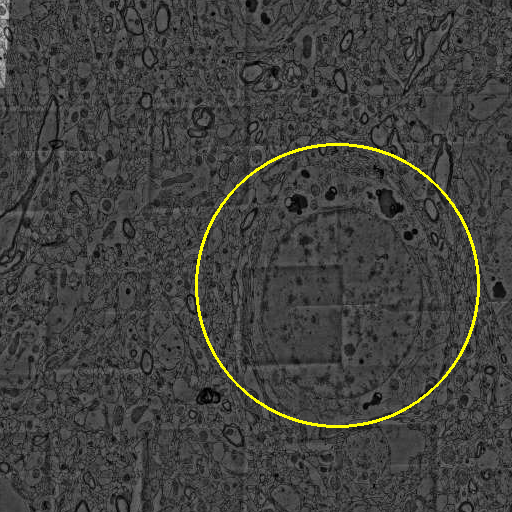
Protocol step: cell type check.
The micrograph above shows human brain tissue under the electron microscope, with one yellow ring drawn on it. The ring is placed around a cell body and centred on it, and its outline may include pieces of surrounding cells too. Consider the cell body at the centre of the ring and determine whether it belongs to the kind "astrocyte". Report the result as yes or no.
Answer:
no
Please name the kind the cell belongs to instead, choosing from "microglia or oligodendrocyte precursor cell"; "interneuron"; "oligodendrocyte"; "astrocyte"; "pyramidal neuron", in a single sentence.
The ring's central cell is an interneuron instead.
